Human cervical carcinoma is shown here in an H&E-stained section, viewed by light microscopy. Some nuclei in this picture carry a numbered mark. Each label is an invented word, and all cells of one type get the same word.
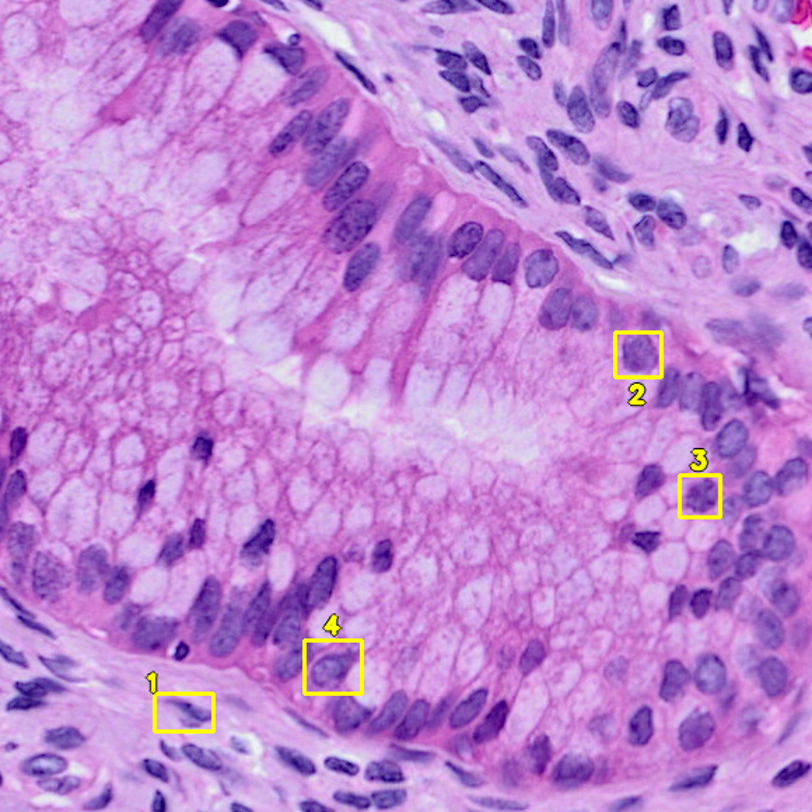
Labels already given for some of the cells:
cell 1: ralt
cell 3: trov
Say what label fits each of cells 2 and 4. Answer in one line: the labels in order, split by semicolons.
trov; trov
